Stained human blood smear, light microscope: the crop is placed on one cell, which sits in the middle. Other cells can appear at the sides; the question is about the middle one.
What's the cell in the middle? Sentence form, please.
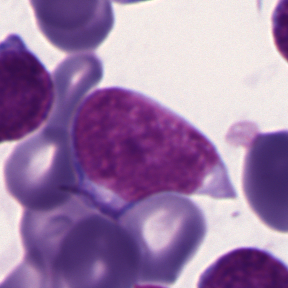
The cell at the centre of the field is a myeloblast.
